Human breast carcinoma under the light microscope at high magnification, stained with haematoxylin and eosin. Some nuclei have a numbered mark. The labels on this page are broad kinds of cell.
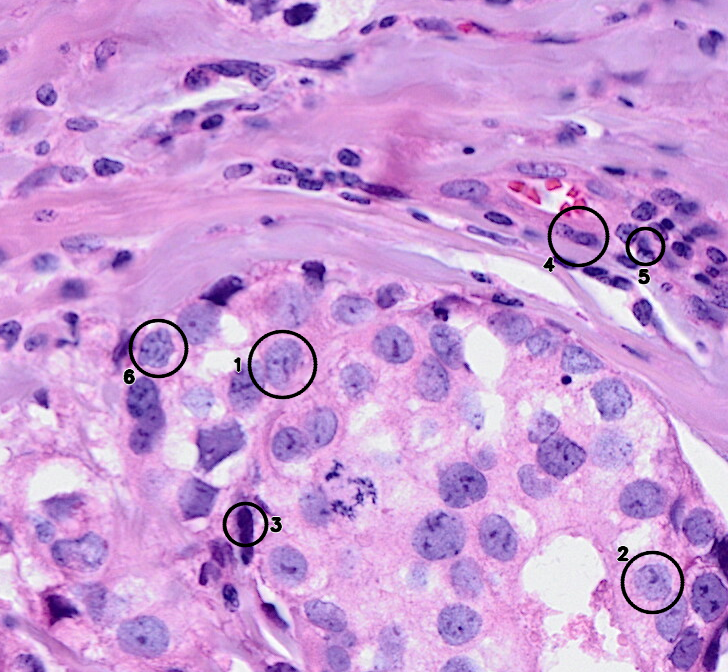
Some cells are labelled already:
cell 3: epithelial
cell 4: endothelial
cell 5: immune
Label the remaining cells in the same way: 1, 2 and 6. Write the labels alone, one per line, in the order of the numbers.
epithelial
epithelial
epithelial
